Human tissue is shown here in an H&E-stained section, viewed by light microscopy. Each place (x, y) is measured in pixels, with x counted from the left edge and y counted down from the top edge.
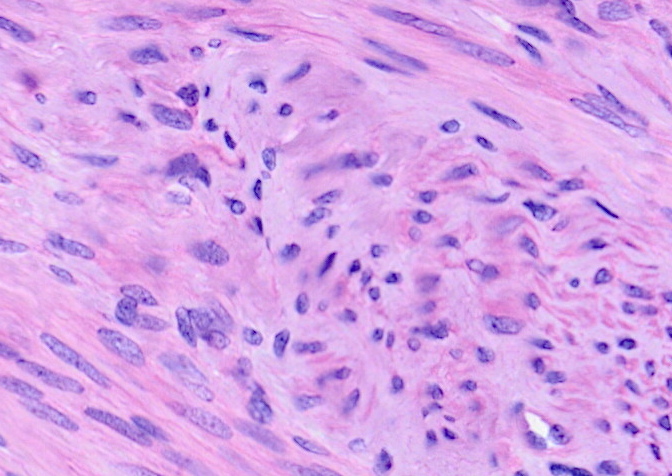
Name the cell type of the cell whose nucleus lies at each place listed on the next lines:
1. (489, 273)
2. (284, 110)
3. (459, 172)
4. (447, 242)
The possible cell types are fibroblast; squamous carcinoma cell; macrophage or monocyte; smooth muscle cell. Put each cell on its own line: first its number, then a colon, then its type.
1: smooth muscle cell
2: fibroblast
3: smooth muscle cell
4: smooth muscle cell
